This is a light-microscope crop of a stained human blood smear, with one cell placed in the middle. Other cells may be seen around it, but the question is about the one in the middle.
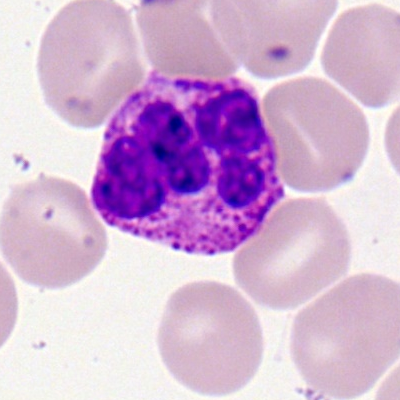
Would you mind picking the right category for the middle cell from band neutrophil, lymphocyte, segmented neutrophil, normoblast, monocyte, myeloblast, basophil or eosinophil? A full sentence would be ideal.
In this crop, the cell at the very middle is a basophil.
